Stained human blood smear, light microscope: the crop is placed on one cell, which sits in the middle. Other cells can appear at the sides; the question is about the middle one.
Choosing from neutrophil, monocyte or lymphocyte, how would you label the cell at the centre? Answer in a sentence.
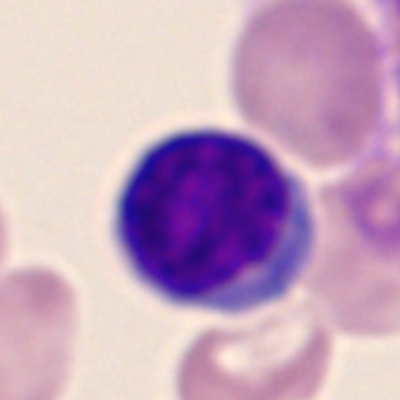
This crop's central cell is a lymphocyte.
